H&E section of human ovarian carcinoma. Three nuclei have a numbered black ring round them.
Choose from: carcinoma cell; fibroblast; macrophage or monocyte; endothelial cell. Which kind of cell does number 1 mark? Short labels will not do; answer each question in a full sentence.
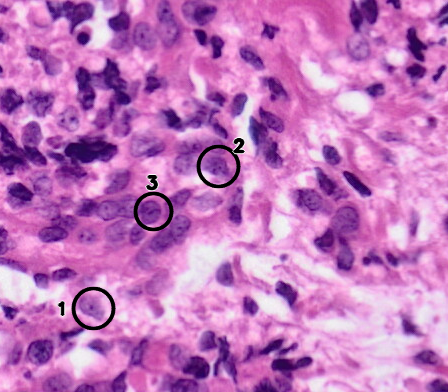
The cell given label 1 is a macrophage or monocyte.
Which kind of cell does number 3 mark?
Regarding cell 3, this one is a carcinoma cell.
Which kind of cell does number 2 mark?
The correct answer for cell 2 is a carcinoma cell.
